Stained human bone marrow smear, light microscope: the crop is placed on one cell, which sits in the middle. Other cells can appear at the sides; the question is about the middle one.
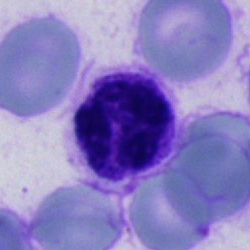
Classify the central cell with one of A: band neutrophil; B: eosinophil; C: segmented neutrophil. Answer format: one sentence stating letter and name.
The best answer is option C, since the cell in the middle is a segmented neutrophil.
